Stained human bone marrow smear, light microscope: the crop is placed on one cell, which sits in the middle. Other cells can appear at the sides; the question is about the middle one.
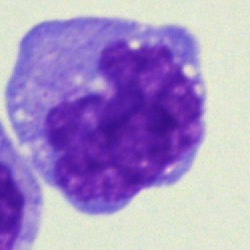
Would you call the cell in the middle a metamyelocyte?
no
